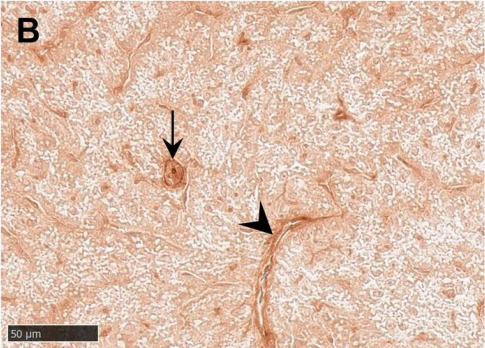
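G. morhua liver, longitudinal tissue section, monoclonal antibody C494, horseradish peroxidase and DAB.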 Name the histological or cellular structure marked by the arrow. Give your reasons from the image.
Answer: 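Bile ductule epithelium. A small round profile of a few cells with a brown-stained rim lies within the liver tissue.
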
